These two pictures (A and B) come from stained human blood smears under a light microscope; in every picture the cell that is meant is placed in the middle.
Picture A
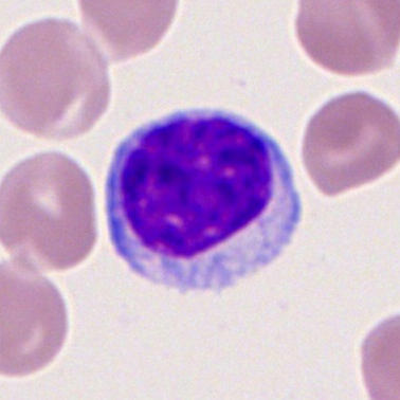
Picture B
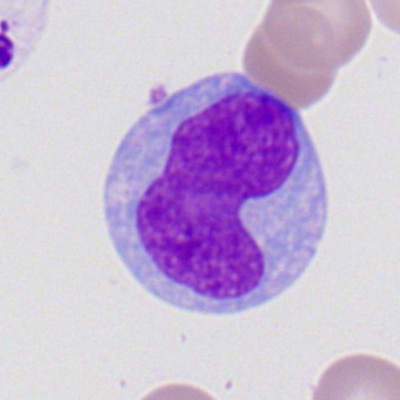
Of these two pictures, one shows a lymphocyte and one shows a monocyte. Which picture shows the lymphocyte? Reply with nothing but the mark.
A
